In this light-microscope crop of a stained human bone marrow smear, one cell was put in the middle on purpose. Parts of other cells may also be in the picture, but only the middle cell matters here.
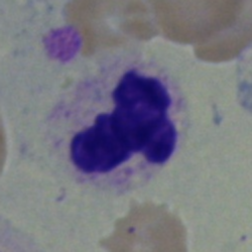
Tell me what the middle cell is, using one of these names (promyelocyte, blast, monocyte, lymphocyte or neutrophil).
neutrophil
